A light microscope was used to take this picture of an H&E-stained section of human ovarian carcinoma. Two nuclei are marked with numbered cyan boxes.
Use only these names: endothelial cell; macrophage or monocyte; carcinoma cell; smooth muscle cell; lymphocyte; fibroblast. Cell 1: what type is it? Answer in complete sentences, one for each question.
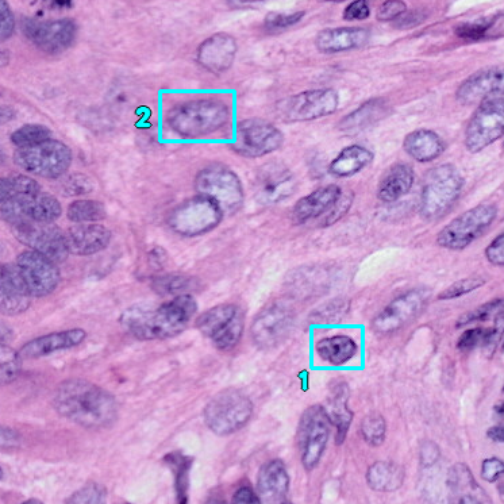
The cell identified by number 1 is a lymphocyte.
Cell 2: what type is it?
The nucleus with number 2 is that of a fibroblast.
